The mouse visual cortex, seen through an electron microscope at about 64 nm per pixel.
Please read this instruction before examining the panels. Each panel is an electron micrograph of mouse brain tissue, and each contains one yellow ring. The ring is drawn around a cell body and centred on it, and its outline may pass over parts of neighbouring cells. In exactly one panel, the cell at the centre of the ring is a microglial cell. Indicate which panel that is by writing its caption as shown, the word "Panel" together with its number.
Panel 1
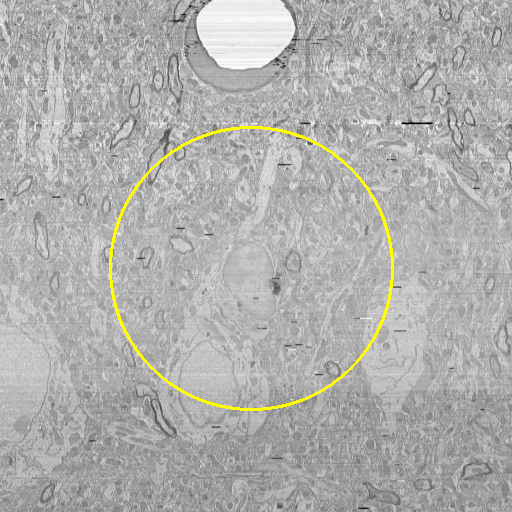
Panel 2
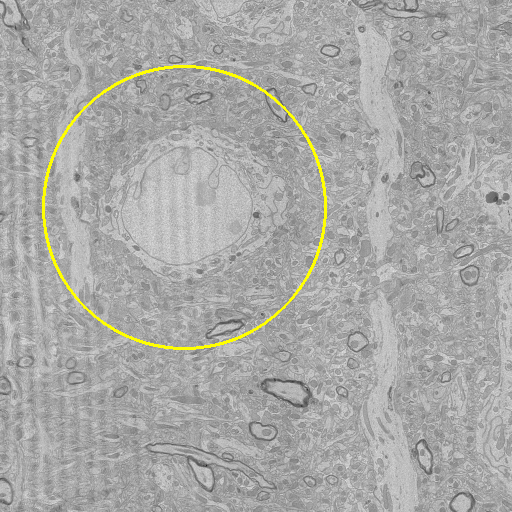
Panel 1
